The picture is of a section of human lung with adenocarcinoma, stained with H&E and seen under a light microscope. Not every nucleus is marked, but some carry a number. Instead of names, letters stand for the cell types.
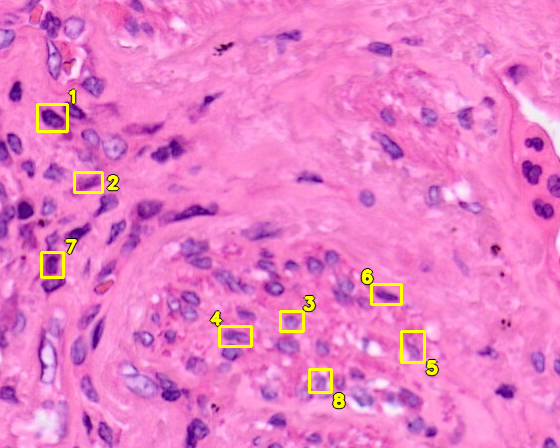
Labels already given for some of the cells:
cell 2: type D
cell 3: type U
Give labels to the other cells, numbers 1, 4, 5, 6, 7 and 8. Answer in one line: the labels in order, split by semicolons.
type D; type U; type U; type U; type D; type U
